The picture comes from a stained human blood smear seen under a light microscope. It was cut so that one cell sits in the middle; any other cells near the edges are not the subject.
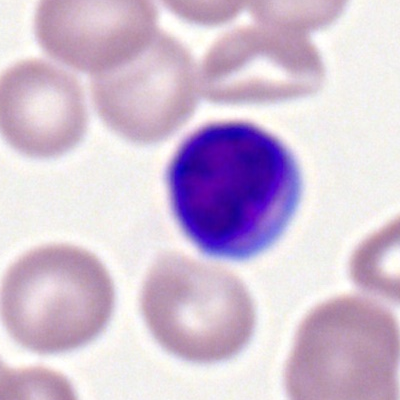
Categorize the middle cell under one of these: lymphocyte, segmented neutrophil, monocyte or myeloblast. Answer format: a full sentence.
Classified as a lymphocyte is the cell in the middle of this crop.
